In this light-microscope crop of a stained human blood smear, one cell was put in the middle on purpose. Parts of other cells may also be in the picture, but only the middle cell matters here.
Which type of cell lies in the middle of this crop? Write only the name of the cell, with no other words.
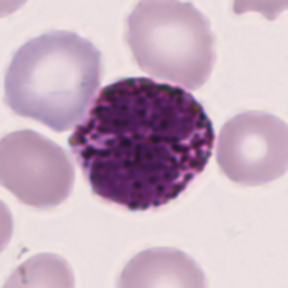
basophil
